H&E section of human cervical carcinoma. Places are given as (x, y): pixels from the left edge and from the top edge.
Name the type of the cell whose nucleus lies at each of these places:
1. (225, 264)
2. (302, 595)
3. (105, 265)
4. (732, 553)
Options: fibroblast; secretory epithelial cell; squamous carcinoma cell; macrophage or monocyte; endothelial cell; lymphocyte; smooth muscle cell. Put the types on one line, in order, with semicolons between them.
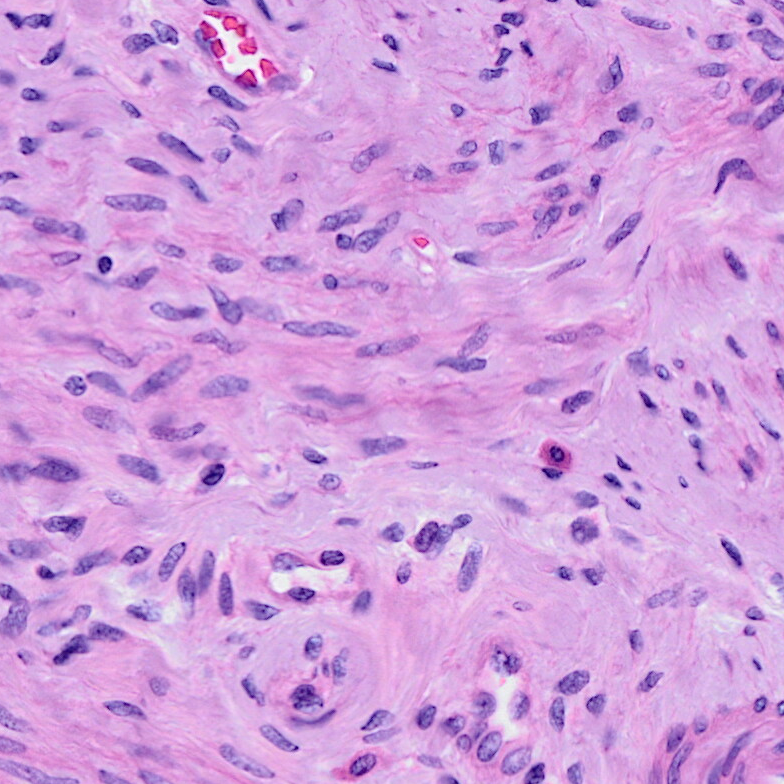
smooth muscle cell; endothelial cell; lymphocyte; fibroblast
